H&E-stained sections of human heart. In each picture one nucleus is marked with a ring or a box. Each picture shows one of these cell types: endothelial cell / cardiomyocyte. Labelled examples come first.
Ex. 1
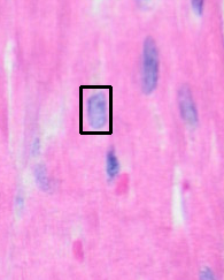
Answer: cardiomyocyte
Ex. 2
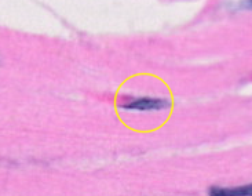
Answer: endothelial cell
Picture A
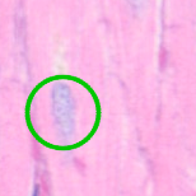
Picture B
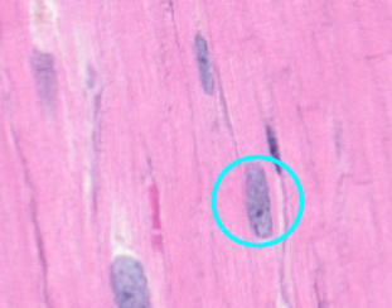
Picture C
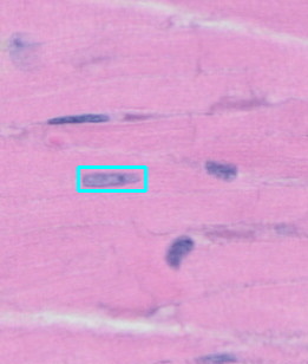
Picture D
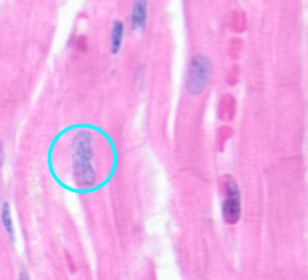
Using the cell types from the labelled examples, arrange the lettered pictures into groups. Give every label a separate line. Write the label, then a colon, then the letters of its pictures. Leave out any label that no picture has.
cardiomyocyte: A, B, C, D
